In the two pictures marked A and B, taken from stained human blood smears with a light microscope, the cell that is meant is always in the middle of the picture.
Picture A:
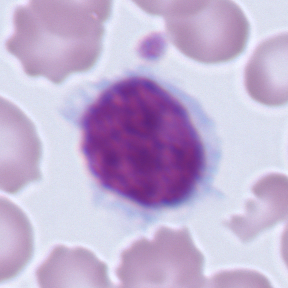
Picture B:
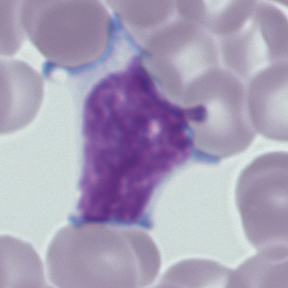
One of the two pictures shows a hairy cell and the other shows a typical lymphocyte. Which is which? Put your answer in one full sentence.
The cell in picture A is a hairy cell, and the one in picture B is a typical lymphocyte.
